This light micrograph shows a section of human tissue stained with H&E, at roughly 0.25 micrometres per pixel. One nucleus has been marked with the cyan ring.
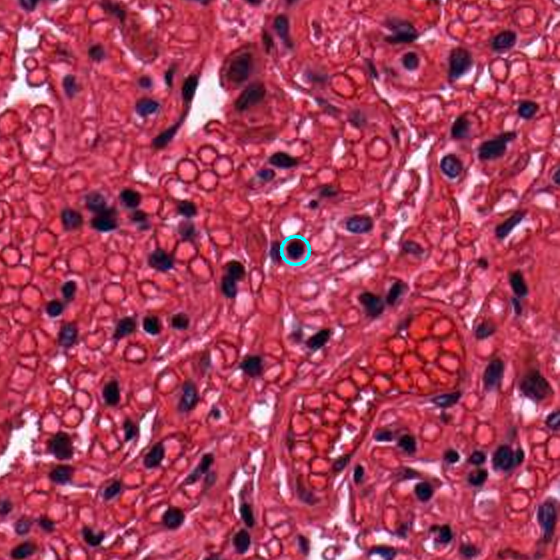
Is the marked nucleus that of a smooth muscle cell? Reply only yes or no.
no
